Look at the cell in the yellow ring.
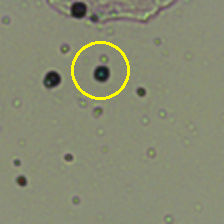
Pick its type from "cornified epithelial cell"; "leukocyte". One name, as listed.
leukocyte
